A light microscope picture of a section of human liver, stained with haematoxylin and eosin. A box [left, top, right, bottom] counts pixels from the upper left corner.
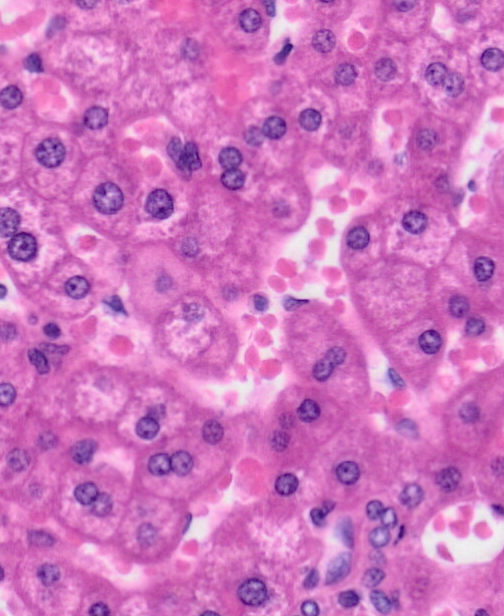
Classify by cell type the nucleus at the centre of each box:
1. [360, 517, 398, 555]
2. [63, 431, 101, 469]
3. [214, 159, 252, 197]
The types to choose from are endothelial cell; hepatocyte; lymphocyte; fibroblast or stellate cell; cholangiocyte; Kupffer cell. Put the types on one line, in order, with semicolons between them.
cholangiocyte; endothelial cell; hepatocyte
